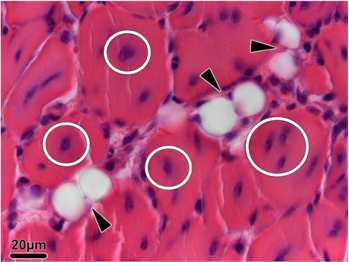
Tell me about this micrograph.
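Cross-sectioned skeletal muscle in which pink, angular muscle fibers of different sizes lie closely packed. Several fibers, circled in white, carry purple nuclei within the fiber interior instead of only beneath the surface. The fibers retain their polygonal outlines and even eosin staining, and the spaces between them are narrow without dense infiltrates or wide fibrous bands.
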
